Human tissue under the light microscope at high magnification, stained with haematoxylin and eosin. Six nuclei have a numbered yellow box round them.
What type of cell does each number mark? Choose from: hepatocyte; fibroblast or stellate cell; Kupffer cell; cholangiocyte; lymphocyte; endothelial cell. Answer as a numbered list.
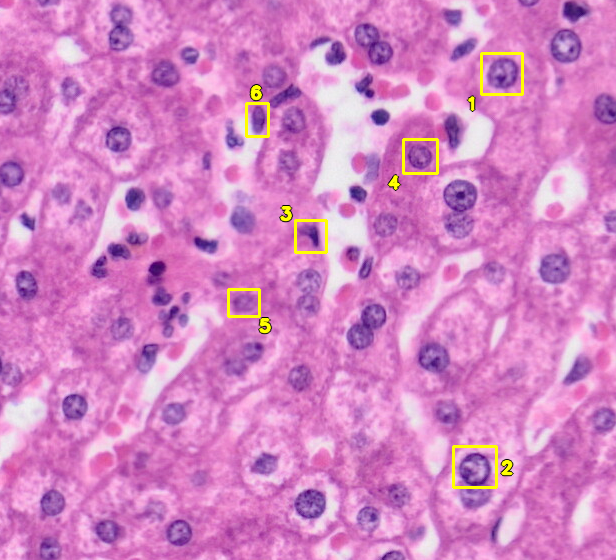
1. hepatocyte
2. hepatocyte
3. fibroblast or stellate cell
4. hepatocyte
5. hepatocyte
6. Kupffer cell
